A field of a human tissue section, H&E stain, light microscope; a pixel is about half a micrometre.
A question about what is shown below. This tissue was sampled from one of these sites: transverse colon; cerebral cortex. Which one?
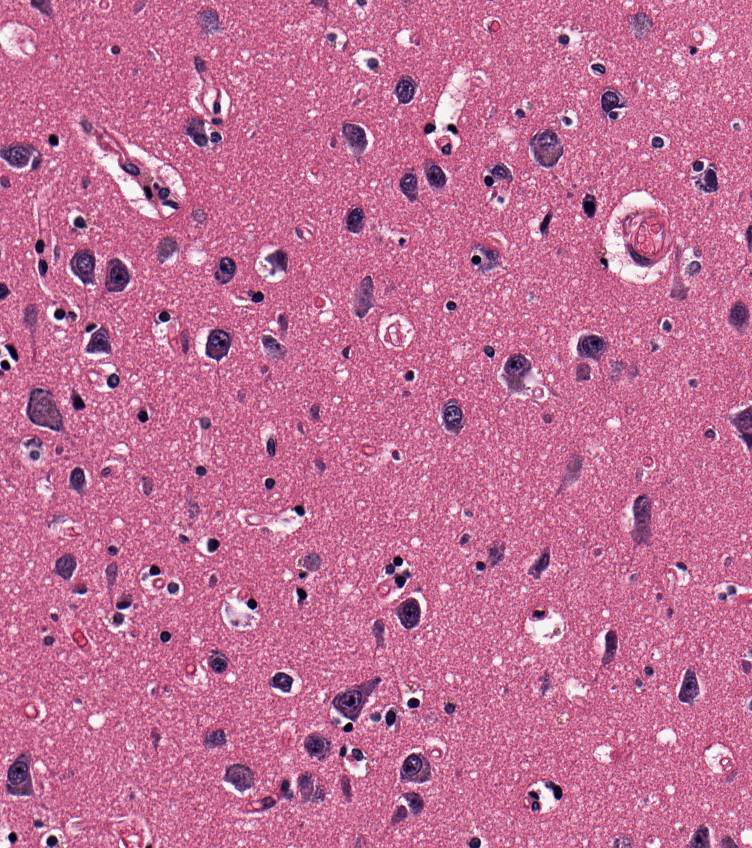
cerebral cortex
